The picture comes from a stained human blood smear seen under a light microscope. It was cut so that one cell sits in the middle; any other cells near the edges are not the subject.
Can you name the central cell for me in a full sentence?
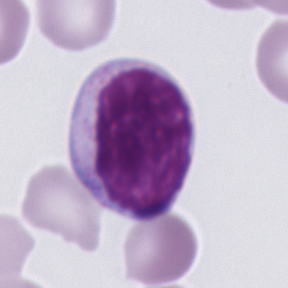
Among the cells in view, the one in the middle is a large granular lymphocyte.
